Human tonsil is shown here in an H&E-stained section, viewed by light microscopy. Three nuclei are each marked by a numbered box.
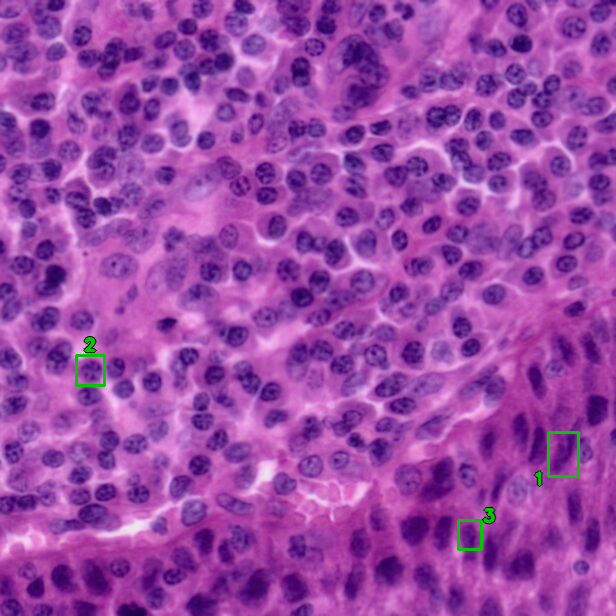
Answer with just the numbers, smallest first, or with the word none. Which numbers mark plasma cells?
2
